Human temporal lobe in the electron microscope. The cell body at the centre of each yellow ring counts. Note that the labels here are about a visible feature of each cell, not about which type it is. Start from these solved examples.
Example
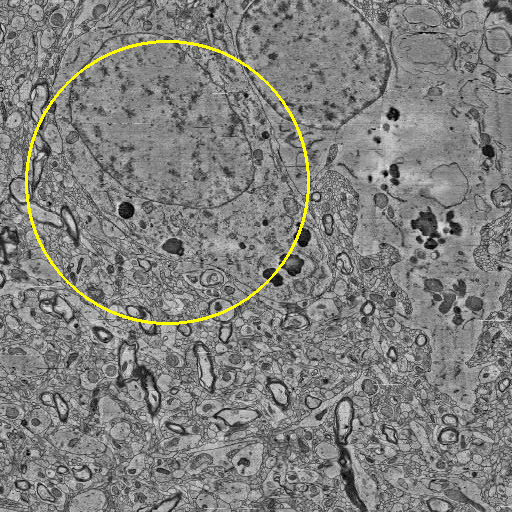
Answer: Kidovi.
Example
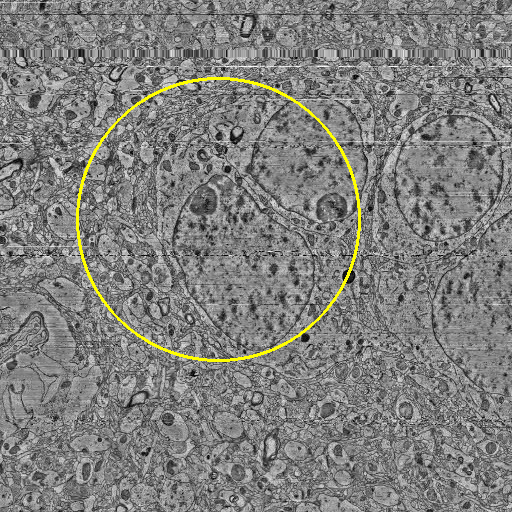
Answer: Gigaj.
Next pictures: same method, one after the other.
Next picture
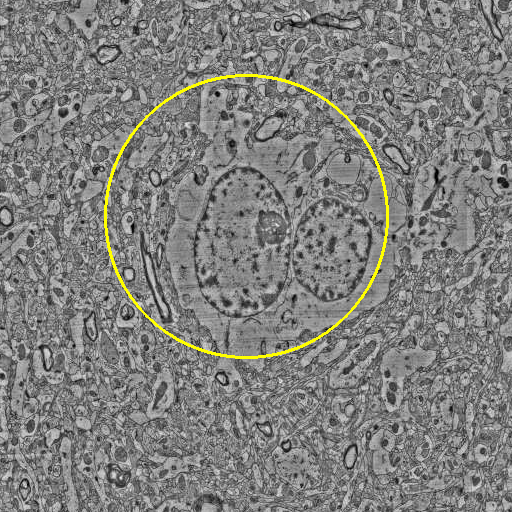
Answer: Gigaj.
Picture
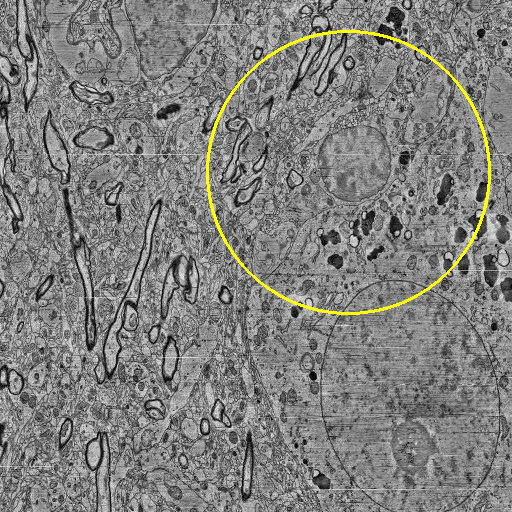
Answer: Kidovi.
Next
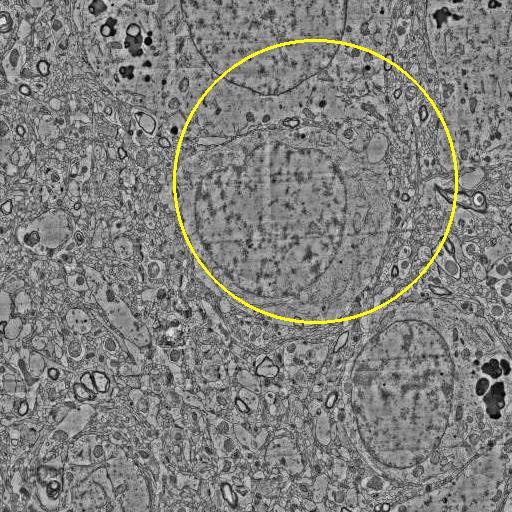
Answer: Kidovi.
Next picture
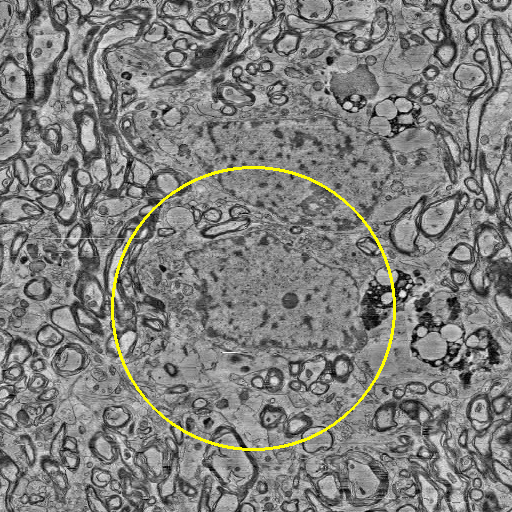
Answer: Gigaj.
